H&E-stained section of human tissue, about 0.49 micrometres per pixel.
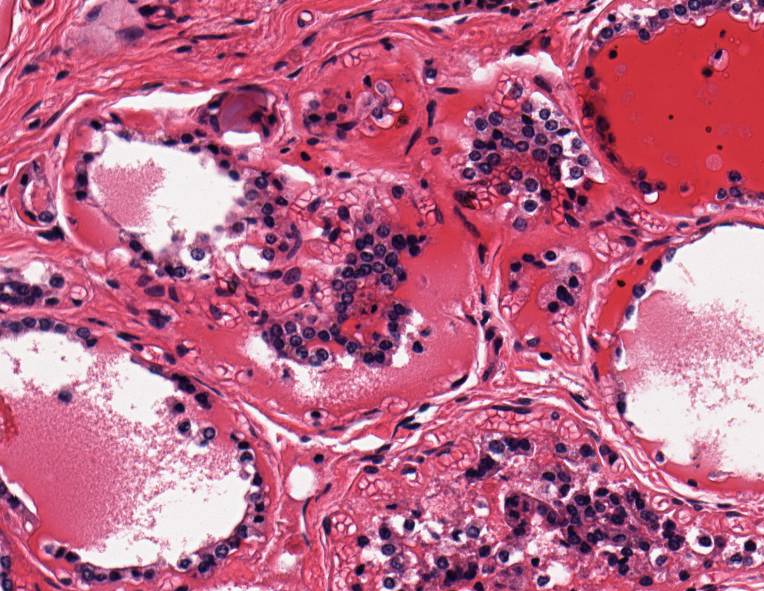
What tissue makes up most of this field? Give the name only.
thyroid follicle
